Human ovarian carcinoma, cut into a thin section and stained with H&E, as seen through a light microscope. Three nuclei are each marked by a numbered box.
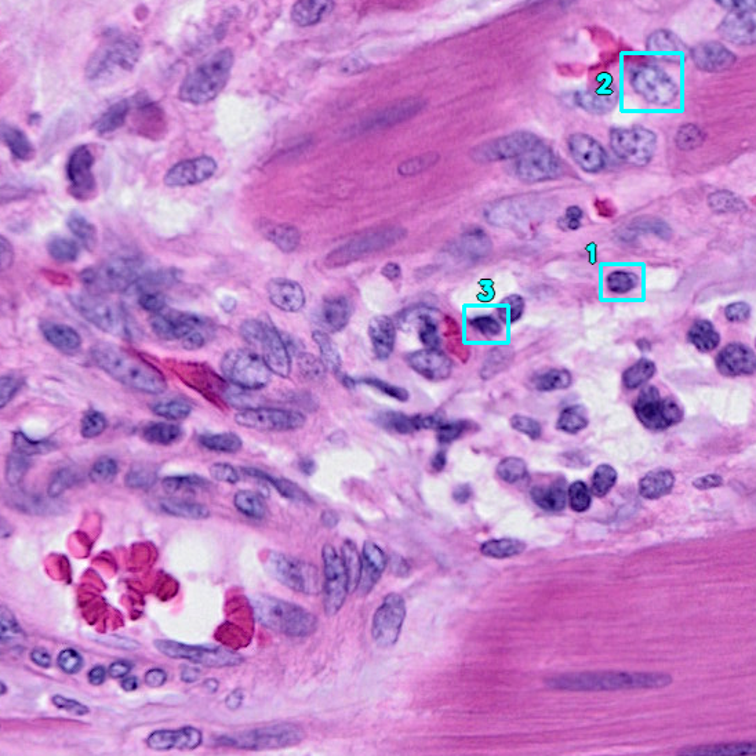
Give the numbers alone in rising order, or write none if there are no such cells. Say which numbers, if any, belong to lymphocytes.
1, 3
